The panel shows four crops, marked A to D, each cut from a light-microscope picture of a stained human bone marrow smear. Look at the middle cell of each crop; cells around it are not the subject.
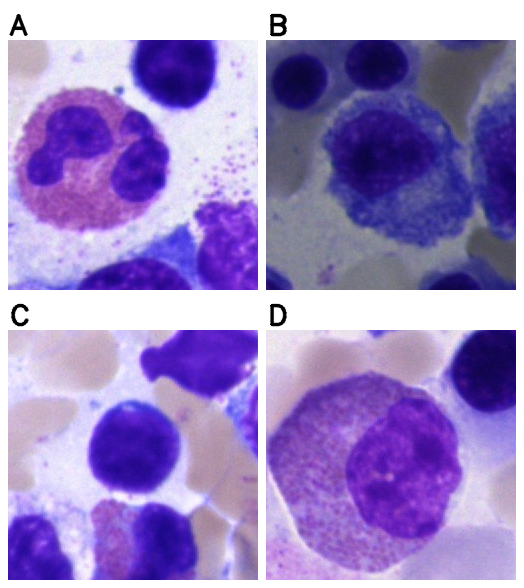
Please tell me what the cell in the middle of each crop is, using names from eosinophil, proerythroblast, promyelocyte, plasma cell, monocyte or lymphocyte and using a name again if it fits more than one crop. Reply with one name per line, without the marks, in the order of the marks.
eosinophil
plasma cell
lymphocyte
eosinophil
